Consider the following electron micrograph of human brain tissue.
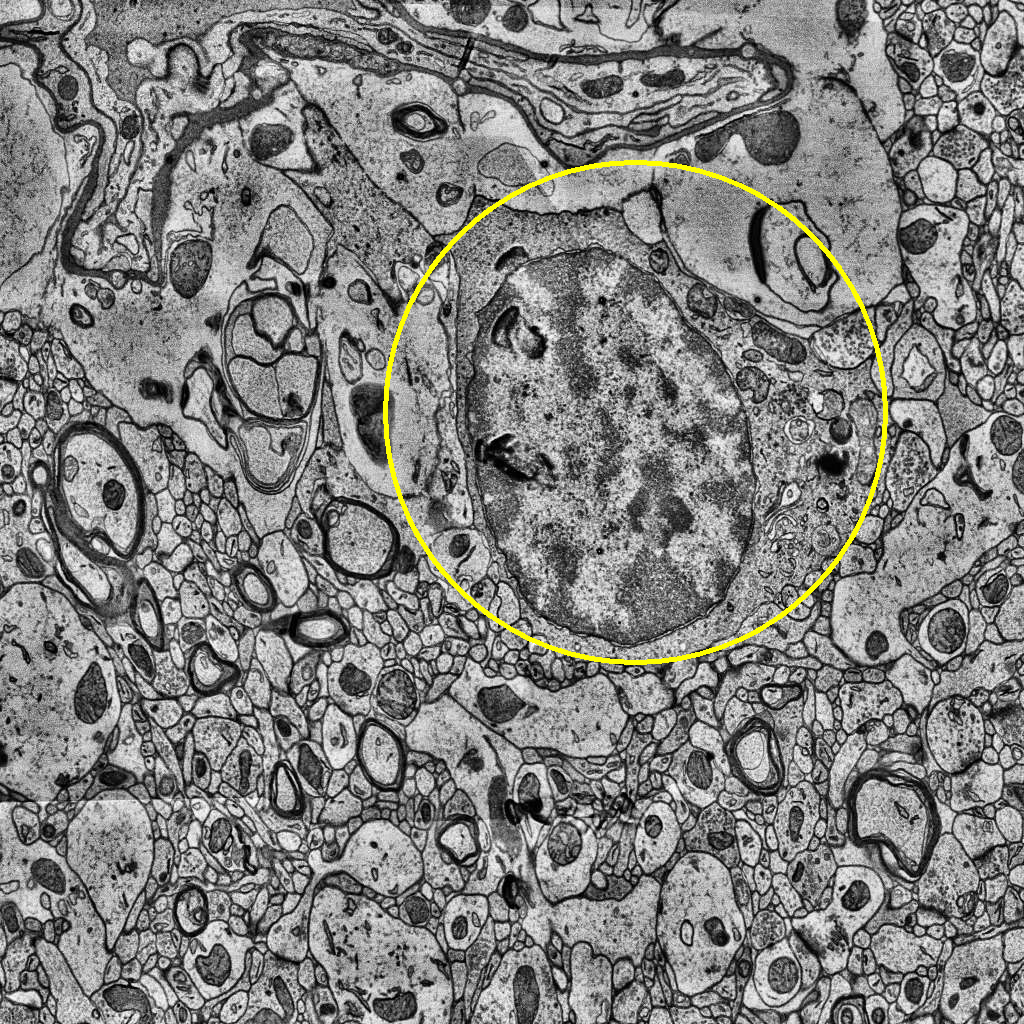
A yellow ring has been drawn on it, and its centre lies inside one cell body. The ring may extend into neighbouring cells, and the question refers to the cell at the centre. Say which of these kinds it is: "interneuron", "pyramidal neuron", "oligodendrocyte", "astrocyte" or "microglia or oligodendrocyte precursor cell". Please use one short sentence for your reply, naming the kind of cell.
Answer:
The centre of the ring falls on an oligodendrocyte.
